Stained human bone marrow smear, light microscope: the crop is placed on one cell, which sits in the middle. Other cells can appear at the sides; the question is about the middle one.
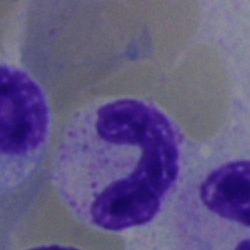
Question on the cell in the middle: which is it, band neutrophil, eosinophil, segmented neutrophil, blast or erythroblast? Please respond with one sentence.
Looking at the middle of the crop, the cell there is a band neutrophil.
